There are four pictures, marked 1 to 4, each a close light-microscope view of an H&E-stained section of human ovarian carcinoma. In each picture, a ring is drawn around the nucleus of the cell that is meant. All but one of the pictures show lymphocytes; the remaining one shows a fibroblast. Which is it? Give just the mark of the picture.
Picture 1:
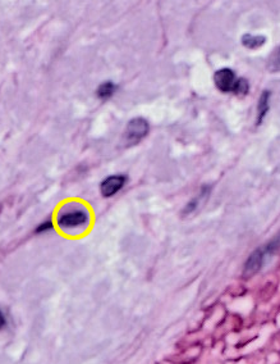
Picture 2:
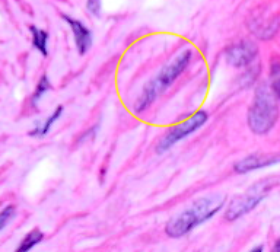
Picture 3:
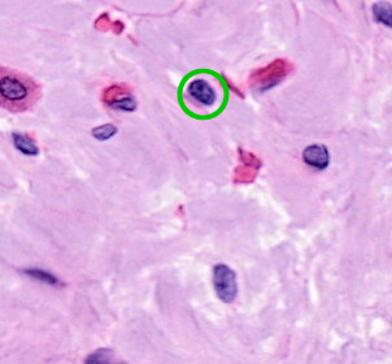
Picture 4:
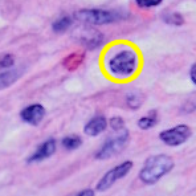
2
